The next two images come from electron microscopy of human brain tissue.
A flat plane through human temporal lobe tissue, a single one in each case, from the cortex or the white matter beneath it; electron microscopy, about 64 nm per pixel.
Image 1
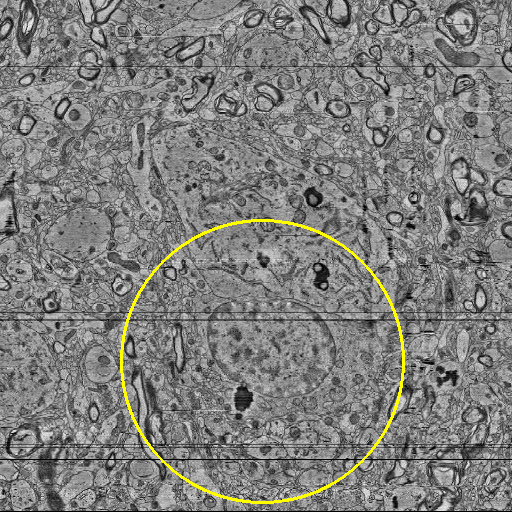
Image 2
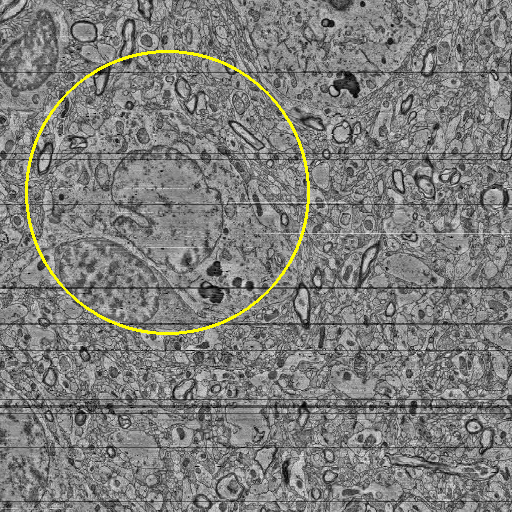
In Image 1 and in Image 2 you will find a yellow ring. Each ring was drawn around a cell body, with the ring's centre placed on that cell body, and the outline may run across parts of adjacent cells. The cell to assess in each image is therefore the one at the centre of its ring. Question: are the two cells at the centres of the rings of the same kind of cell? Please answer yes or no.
no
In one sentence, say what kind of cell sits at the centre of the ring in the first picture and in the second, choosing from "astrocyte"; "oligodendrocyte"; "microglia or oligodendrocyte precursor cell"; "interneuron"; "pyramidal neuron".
The first picture's ringed cell is an oligodendrocyte, while the second picture's is a pyramidal neuron.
